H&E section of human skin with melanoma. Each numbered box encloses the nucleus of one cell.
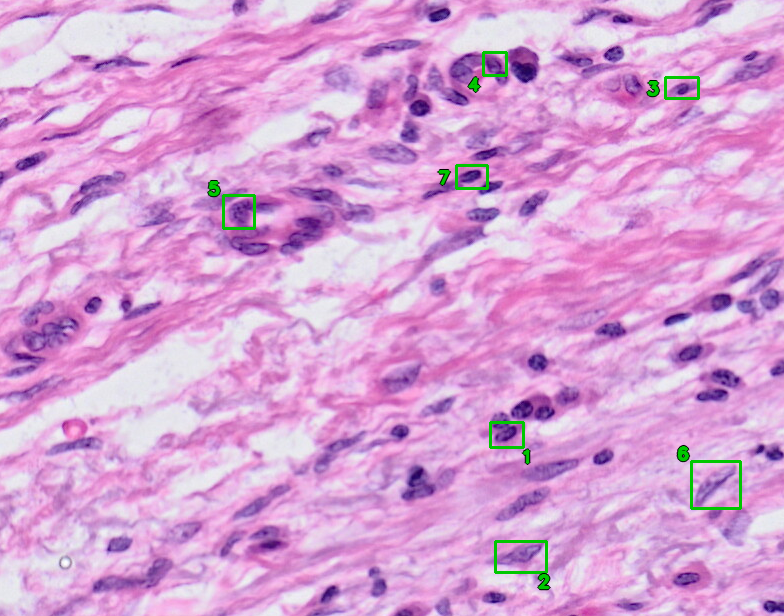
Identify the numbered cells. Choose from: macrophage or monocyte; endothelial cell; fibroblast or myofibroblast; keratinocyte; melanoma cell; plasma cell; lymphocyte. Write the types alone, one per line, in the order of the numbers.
plasma cell
fibroblast or myofibroblast
macrophage or monocyte
endothelial cell
endothelial cell
fibroblast or myofibroblast
lymphocyte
